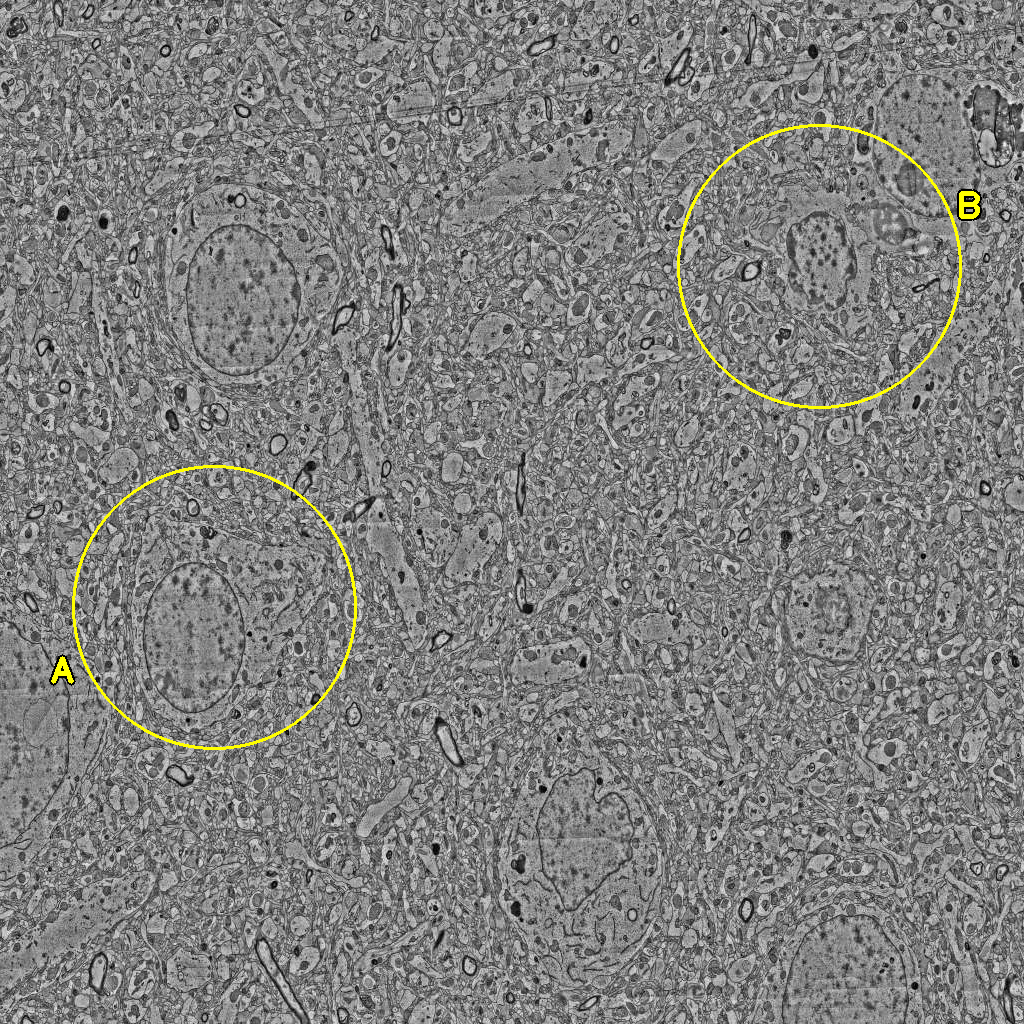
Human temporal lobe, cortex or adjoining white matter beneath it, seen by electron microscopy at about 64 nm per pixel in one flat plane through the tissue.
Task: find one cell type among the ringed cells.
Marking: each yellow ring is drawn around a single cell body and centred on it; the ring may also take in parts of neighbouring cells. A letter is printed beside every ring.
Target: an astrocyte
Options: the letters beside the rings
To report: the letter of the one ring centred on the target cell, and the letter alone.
B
